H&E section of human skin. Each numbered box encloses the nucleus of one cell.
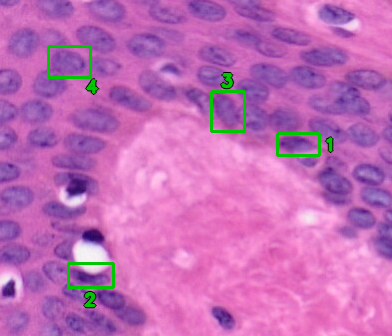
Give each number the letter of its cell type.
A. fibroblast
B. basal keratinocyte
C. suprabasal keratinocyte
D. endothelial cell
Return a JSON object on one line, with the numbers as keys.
{"1": "B", "2": "B", "3": "B", "4": "C"}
